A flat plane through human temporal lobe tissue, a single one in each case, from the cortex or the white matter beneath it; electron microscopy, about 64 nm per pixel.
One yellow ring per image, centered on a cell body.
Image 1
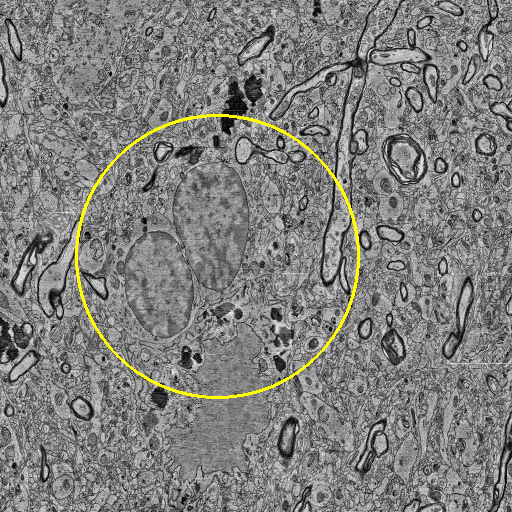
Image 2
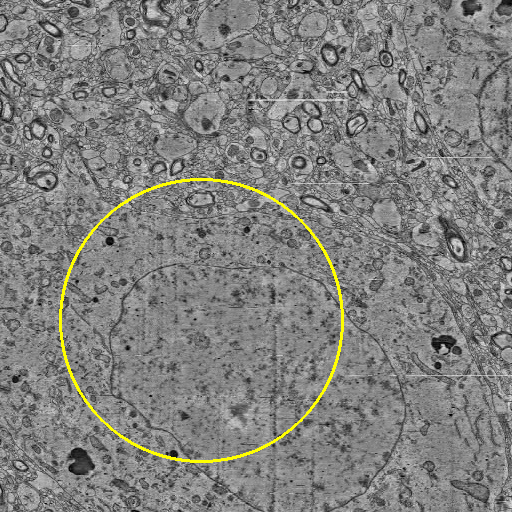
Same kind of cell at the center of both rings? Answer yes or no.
no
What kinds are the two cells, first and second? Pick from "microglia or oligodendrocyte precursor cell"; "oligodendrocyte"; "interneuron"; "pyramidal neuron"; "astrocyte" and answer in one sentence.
The second picture holds a pyramidal neuron in its ring, and the first holds an oligodendrocyte.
